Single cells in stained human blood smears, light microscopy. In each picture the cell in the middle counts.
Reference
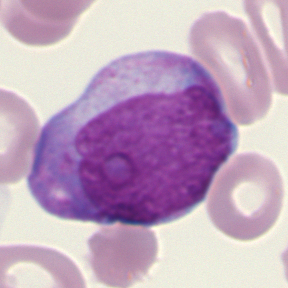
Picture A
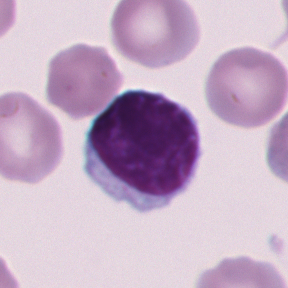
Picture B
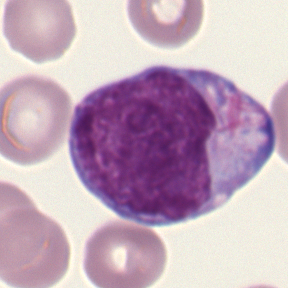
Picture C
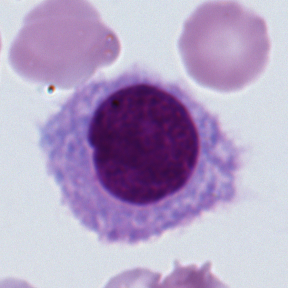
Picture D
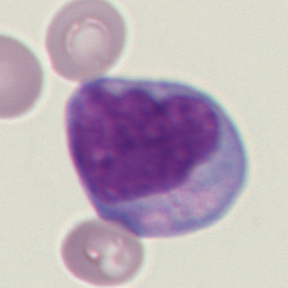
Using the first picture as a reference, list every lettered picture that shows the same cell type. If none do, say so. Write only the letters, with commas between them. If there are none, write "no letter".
B, D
